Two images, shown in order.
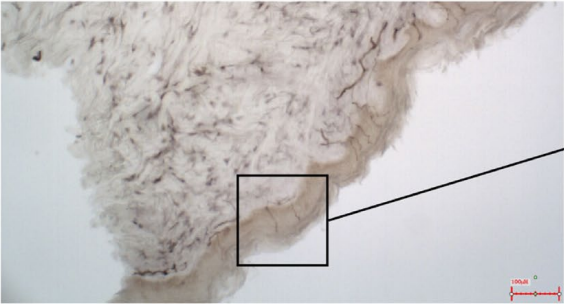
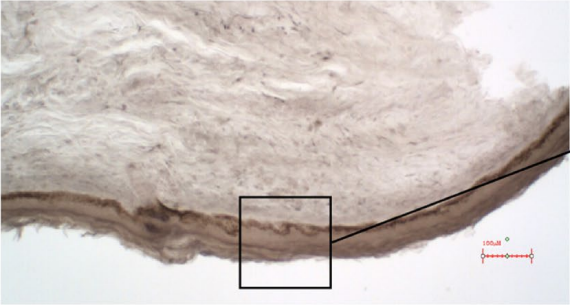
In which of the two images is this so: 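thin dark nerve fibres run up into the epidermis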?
The first image.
